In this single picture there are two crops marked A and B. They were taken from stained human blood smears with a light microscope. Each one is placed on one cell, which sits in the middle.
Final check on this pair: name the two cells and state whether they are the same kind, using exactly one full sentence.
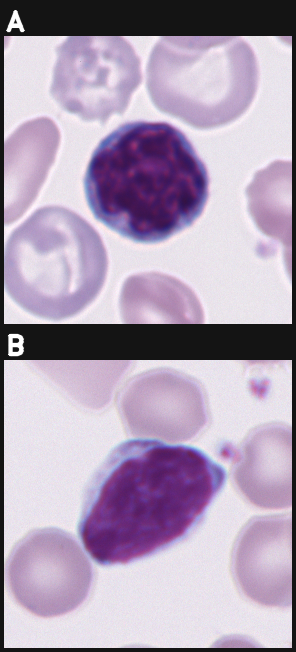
Yes, the two crops show typical lymphocytes, both of them.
